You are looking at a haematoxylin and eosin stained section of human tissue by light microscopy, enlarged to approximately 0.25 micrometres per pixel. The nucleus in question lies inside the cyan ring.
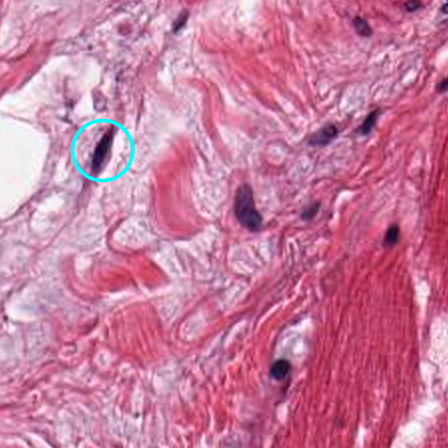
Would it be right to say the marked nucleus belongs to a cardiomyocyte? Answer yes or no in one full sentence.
No, the marked nucleus is held by a supporting cell and not by a cardiomyocyte.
